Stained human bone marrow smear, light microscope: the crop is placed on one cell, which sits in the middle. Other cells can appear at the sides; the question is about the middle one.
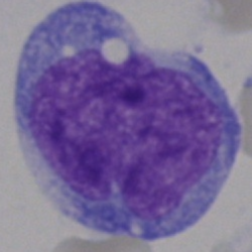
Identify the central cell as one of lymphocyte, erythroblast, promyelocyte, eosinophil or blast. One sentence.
The crop's centre is taken up by a blast.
